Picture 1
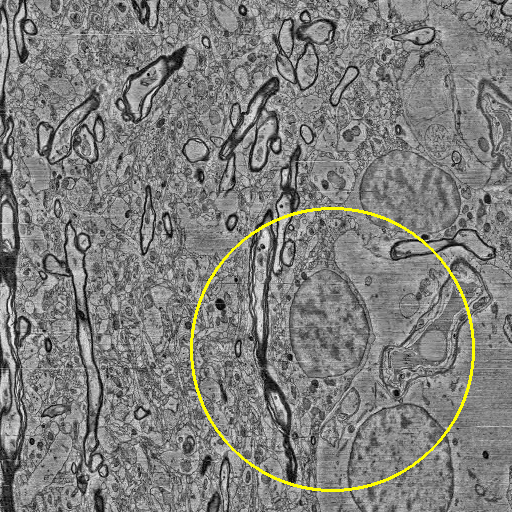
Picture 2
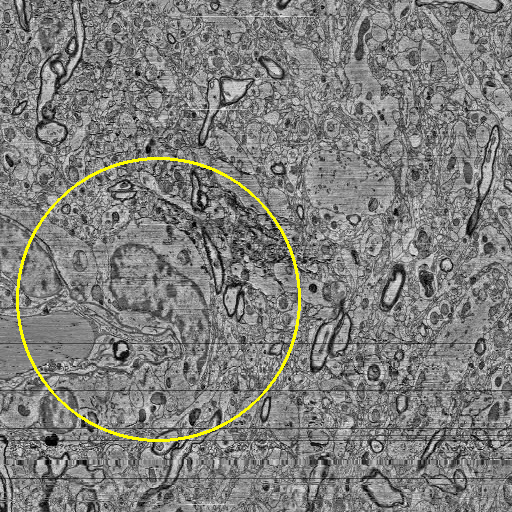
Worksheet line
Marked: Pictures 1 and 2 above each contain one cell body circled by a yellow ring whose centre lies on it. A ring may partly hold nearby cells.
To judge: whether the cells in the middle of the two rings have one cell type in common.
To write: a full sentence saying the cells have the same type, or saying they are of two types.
The cells in the middle of the rings in Picture 1 and Picture 2 are of two types.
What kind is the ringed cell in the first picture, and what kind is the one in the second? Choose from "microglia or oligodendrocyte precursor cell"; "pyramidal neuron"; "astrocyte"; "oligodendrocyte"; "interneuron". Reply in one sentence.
The first cell is an oligodendrocyte; the second is a microglial cell or oligodendrocyte precursor cell.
